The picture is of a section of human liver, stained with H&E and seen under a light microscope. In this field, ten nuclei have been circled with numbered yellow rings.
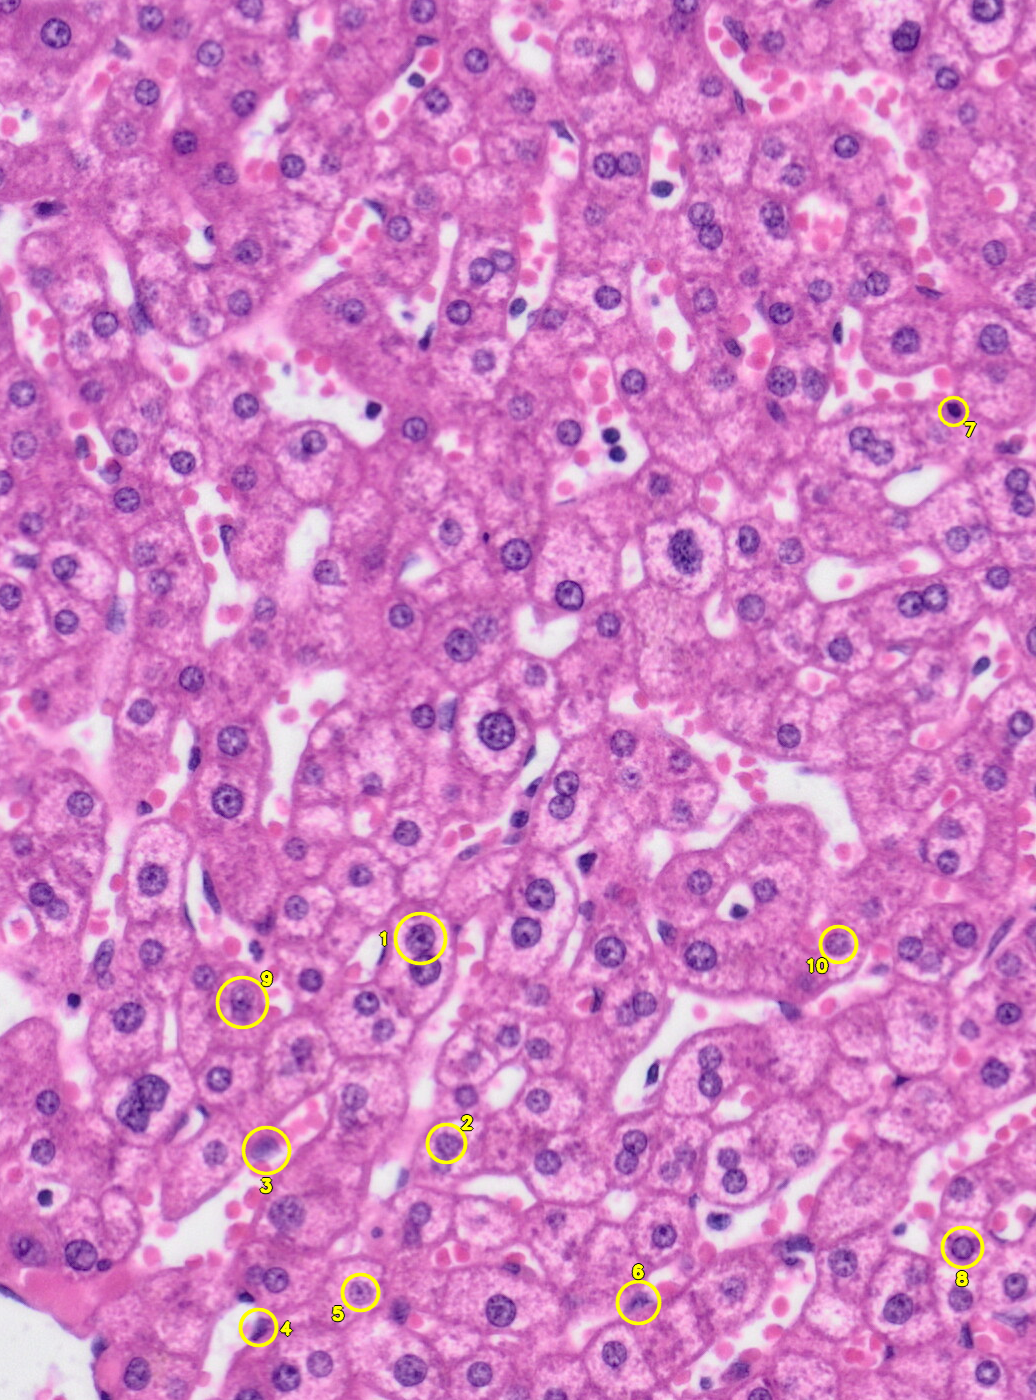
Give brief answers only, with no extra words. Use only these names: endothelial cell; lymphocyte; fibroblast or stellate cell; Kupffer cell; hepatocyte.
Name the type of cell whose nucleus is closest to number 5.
endothelial cell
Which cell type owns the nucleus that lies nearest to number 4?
fibroblast or stellate cell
